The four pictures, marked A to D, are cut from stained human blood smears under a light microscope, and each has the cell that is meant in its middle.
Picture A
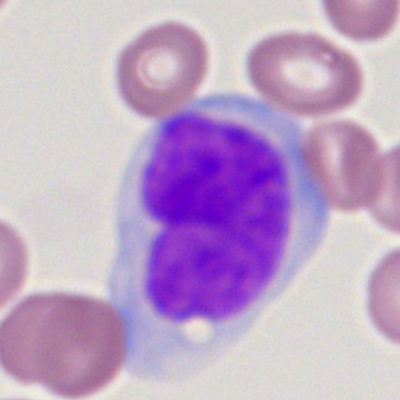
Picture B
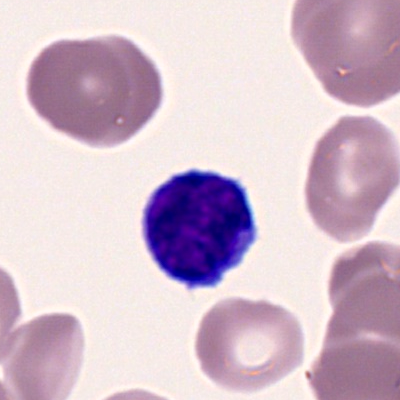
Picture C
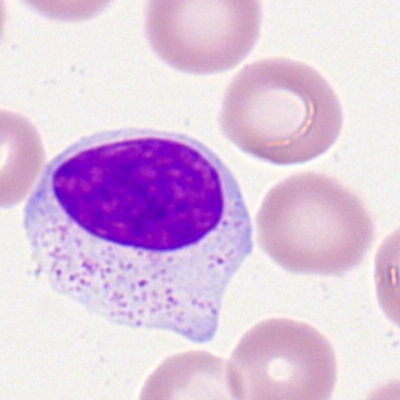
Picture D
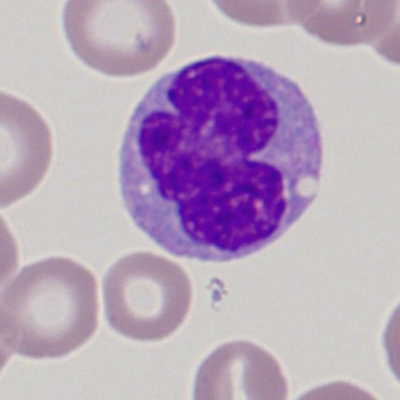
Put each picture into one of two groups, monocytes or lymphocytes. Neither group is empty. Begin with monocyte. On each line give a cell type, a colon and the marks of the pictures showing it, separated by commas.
monocyte: A, D
lymphocyte: B, C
